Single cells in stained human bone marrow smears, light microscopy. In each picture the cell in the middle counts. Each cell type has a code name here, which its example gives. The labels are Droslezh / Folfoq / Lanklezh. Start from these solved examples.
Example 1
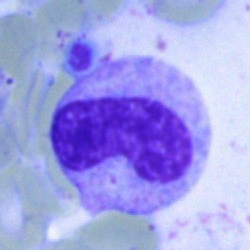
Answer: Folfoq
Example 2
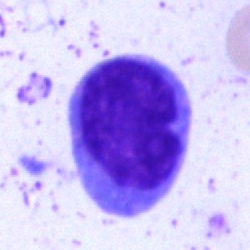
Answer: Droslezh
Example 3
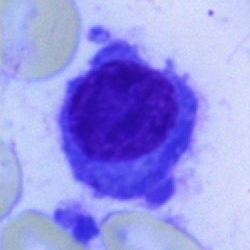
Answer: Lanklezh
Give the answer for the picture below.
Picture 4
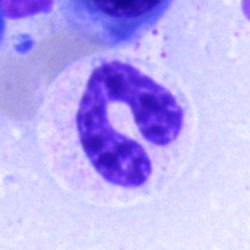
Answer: Folfoq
